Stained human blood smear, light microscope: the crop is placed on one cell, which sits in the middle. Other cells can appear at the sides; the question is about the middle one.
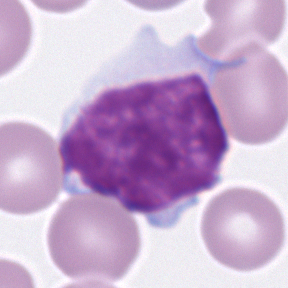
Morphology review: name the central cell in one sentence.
In the central position of this crop, the cell is a typical lymphocyte.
